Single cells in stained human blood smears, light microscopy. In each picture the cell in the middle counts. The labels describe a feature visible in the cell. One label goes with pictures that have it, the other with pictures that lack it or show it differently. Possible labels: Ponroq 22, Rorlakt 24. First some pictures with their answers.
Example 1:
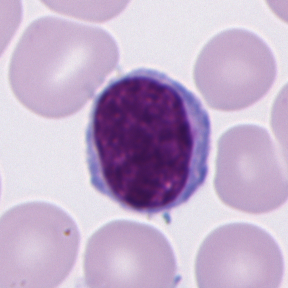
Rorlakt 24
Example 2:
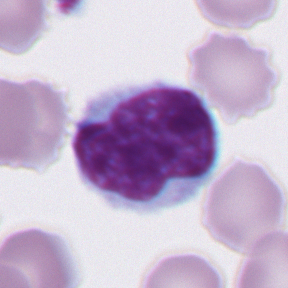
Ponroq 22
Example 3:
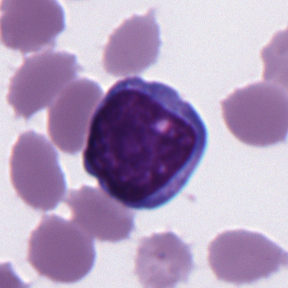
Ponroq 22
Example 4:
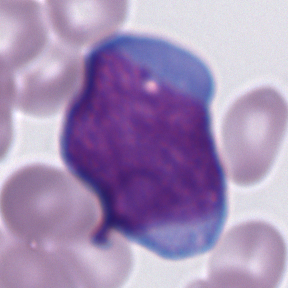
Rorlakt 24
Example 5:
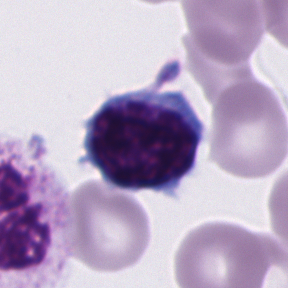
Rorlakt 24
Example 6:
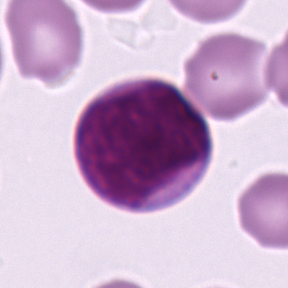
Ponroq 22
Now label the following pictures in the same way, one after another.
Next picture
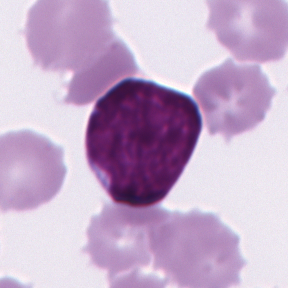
Ponroq 22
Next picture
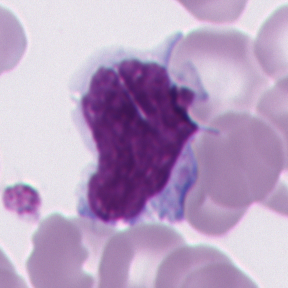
Rorlakt 24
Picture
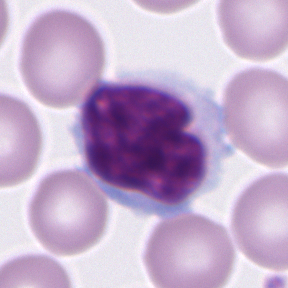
Rorlakt 24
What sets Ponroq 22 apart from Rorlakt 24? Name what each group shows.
Ponroq 22: smooth outline; Rorlakt 24: ragged outline or projections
